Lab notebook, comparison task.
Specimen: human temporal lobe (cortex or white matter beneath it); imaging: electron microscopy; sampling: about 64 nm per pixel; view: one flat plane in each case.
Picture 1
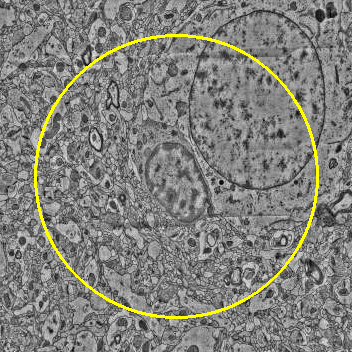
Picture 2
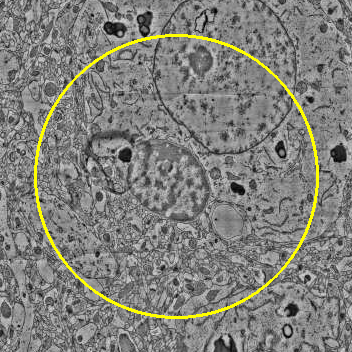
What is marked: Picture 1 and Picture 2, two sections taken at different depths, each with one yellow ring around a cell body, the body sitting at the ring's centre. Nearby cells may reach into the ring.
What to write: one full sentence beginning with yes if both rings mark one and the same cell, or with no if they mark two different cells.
No, each yellow ring marks its own cell.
